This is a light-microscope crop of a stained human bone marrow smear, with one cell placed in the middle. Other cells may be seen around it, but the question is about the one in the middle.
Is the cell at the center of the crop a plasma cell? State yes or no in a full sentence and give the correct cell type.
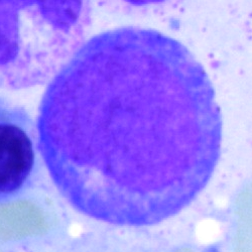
No, the central cell should be identified as a promyelocyte, not as a plasma cell.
